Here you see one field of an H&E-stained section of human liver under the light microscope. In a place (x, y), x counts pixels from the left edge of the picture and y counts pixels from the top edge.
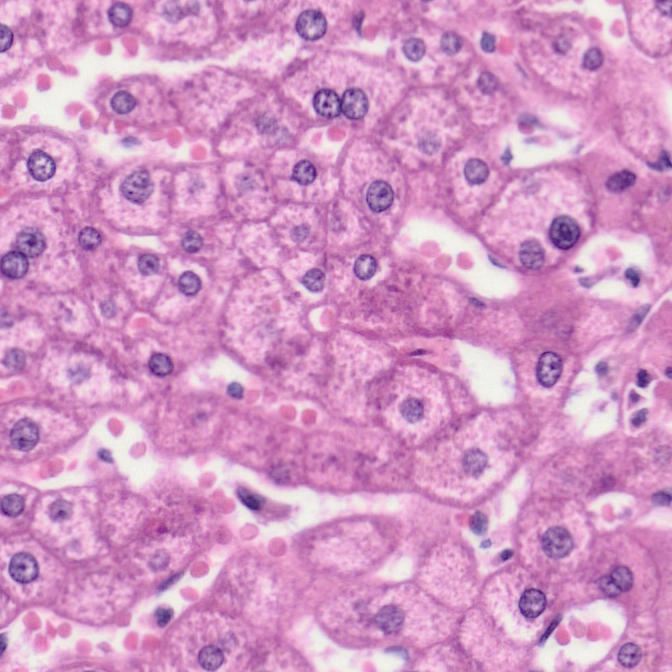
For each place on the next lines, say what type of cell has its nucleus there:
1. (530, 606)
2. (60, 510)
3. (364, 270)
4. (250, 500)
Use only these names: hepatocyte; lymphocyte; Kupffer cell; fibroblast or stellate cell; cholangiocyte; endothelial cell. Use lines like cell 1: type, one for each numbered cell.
cell 1: hepatocyte
cell 2: hepatocyte
cell 3: hepatocyte
cell 4: Kupffer cell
